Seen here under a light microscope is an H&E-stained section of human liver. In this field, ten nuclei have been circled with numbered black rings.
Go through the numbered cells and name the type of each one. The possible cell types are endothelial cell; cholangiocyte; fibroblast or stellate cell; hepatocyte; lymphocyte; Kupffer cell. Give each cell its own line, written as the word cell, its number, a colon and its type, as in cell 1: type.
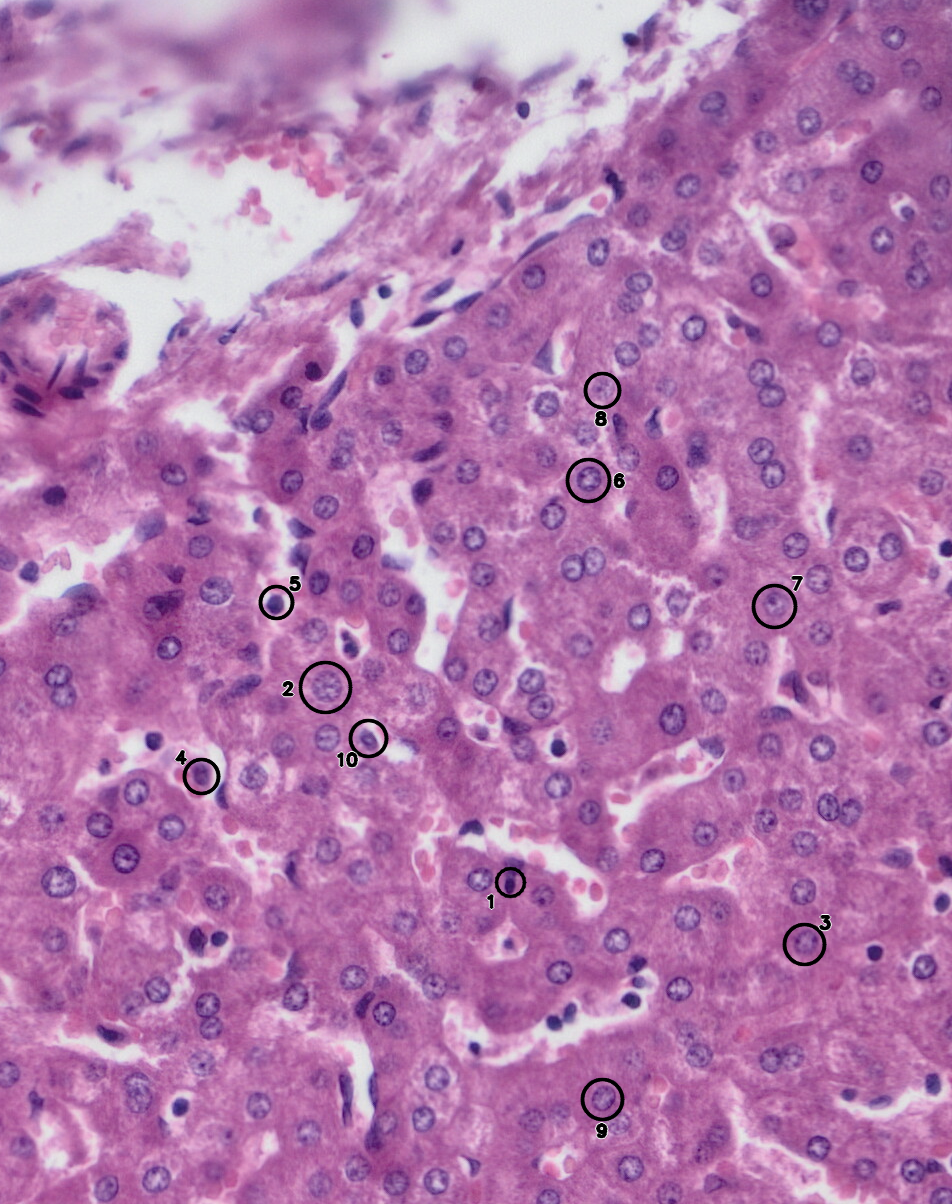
cell 1: fibroblast or stellate cell
cell 2: hepatocyte
cell 3: hepatocyte
cell 4: Kupffer cell
cell 5: lymphocyte
cell 6: hepatocyte
cell 7: hepatocyte
cell 8: hepatocyte
cell 9: hepatocyte
cell 10: Kupffer cell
